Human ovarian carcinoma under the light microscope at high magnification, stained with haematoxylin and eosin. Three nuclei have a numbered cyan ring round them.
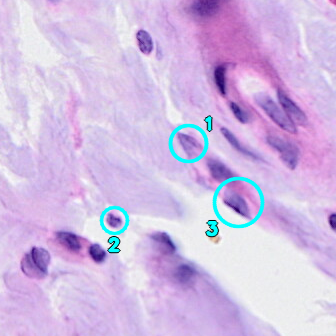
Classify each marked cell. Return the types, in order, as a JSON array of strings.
["fibroblast", "lymphocyte", "endothelial cell"]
